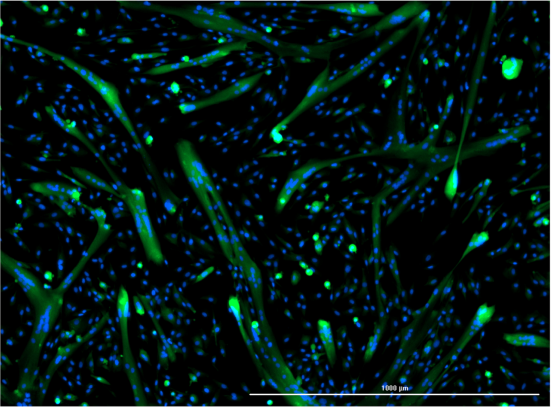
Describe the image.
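Numerous long, wide green myotubes with rows of several nuclei stretch across the culture, formed by fusion of the cells. Between them lie many smaller mononucleated cells with single oval nuclei, plus a few small rounded bright green cells.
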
